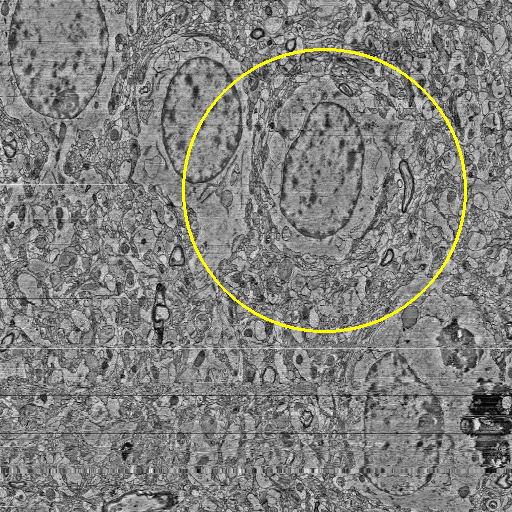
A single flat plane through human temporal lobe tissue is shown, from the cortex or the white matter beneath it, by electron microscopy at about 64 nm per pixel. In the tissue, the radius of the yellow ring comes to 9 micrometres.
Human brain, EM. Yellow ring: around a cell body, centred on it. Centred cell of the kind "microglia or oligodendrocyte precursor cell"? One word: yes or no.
no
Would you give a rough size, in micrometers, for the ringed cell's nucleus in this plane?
The nucleus measures about 9 by 5 micrometres, so it is clearly longer than it is wide in this plane.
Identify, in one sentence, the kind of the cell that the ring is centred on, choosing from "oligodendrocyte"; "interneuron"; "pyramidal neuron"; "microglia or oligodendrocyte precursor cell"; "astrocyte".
Instead, the cell at the centre of the yellow ring is an astrocyte.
